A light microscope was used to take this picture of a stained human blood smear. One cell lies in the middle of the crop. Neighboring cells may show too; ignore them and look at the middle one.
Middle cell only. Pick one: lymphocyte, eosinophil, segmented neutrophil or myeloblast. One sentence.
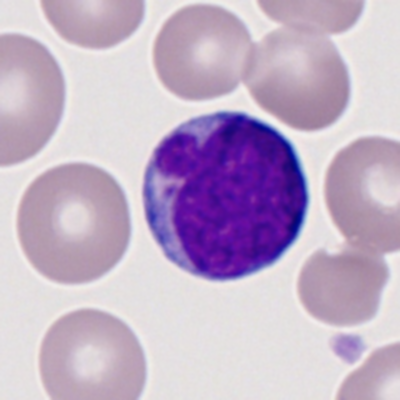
Standing at the centre of this crop is a myeloblast.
